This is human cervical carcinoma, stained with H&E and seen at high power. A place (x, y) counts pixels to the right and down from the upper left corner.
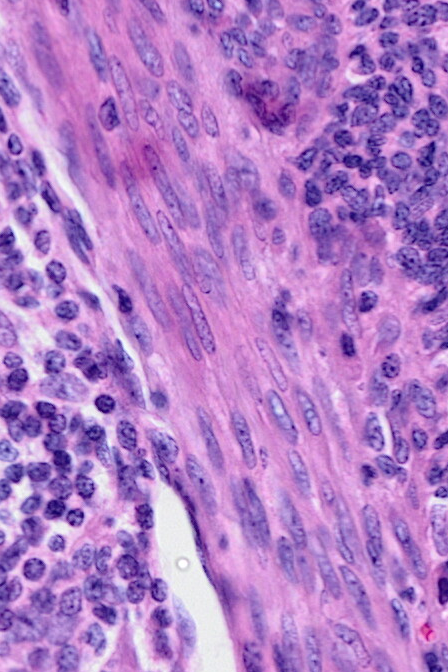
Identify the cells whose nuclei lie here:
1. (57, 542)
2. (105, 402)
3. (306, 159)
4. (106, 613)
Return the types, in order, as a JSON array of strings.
["lymphocyte", "lymphocyte", "squamous carcinoma cell", "lymphocyte"]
